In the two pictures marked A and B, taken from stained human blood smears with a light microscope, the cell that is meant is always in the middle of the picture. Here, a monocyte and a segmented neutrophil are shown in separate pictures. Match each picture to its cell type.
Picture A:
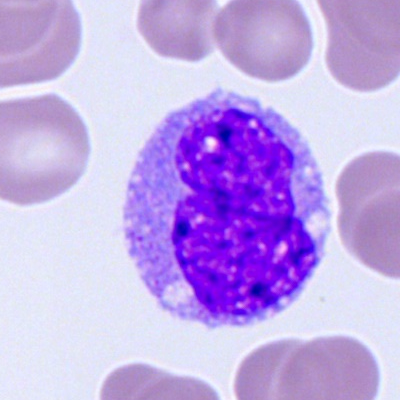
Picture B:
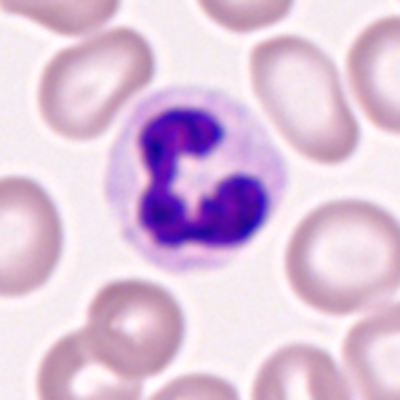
A: monocyte
B: segmented neutrophil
